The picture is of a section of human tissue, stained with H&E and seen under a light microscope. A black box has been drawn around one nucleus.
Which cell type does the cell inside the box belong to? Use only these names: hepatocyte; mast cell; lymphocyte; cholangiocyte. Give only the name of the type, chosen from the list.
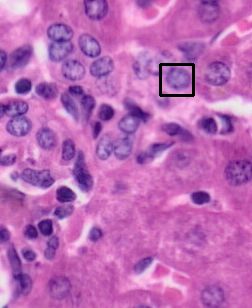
cholangiocyte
